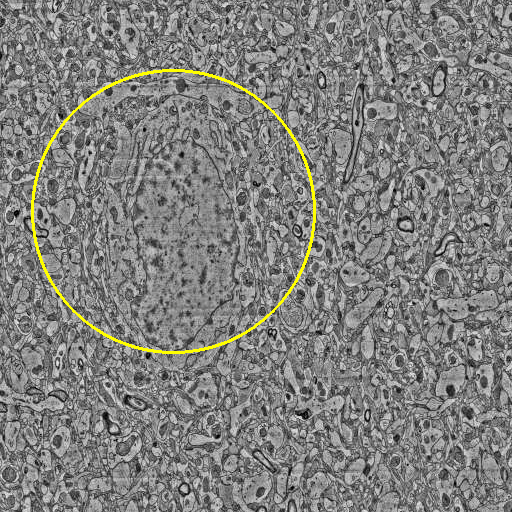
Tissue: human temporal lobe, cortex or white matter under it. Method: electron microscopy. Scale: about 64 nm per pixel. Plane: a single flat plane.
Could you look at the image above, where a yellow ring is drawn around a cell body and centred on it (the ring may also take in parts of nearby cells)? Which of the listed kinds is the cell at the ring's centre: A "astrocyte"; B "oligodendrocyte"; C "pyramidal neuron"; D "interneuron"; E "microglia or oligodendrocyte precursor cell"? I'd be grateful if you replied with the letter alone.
D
